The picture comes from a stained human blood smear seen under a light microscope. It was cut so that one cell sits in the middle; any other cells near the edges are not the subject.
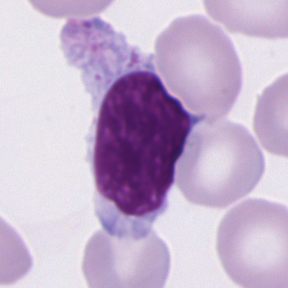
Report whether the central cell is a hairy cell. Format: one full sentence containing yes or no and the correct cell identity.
No; rather than a hairy cell, the cell at the center is a large granular lymphocyte.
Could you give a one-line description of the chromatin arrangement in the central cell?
The chromatin of this one is coarsely clumped.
